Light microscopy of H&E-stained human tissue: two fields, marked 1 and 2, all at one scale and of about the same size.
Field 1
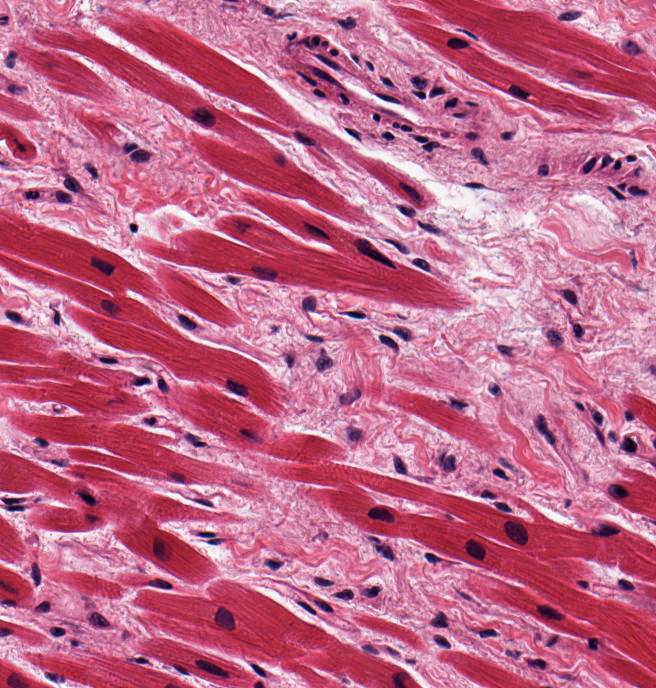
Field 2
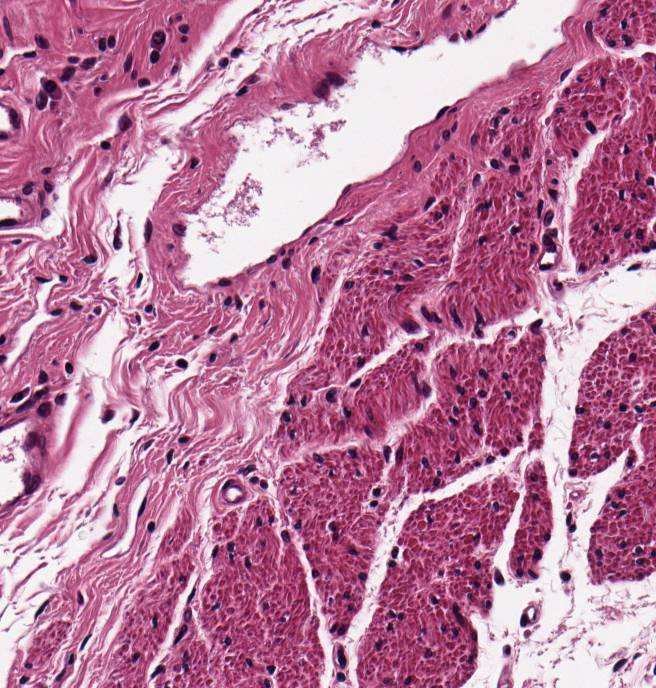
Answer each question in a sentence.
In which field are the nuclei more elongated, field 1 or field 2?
The nuclei are more elongated in field 1.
